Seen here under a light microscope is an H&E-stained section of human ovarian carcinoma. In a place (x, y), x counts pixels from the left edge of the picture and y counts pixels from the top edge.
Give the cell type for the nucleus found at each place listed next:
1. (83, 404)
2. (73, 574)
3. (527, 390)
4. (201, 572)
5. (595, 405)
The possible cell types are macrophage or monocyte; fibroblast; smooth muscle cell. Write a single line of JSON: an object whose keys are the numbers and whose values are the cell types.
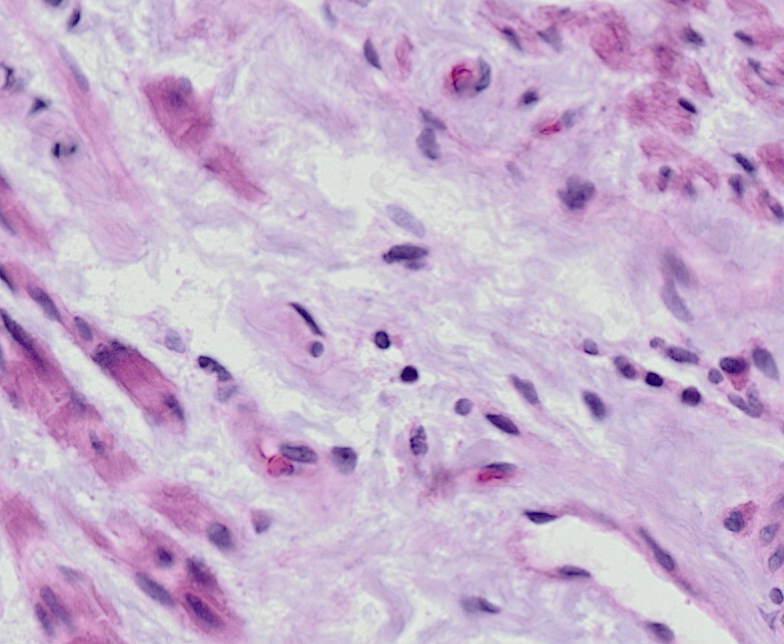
{"1": "smooth muscle cell", "2": "smooth muscle cell", "3": "fibroblast", "4": "smooth muscle cell", "5": "fibroblast"}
